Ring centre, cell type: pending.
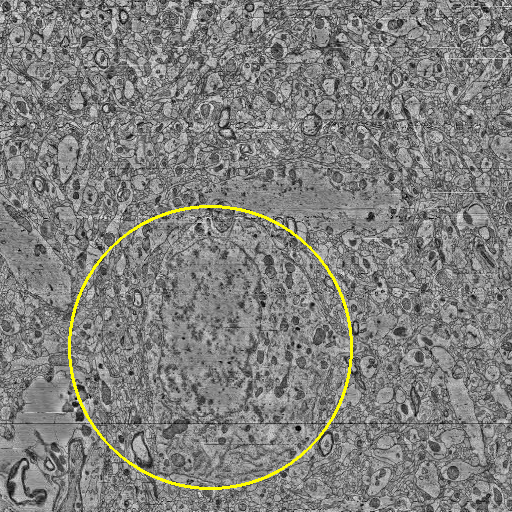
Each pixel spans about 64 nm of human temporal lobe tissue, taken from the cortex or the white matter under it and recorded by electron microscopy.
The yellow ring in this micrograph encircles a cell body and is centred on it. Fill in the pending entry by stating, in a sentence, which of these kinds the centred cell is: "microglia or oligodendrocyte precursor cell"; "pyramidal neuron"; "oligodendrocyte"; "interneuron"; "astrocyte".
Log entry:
The centred cell is recorded as an interneuron.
